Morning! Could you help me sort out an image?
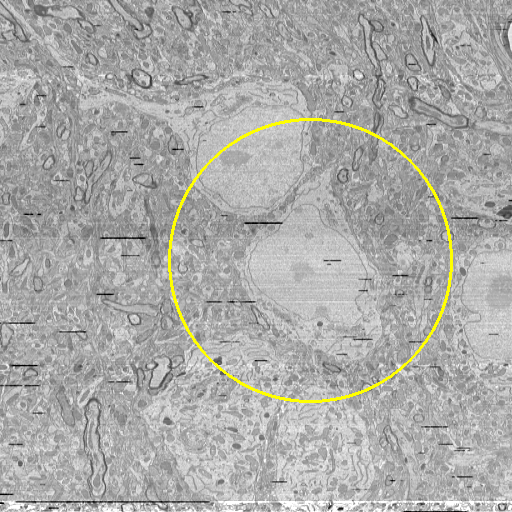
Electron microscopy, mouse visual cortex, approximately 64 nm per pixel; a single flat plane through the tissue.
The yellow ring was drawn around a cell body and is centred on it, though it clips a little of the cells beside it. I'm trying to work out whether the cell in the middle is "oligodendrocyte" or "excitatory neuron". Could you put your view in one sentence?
The ringed cell body is that of an excitatory neuron.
